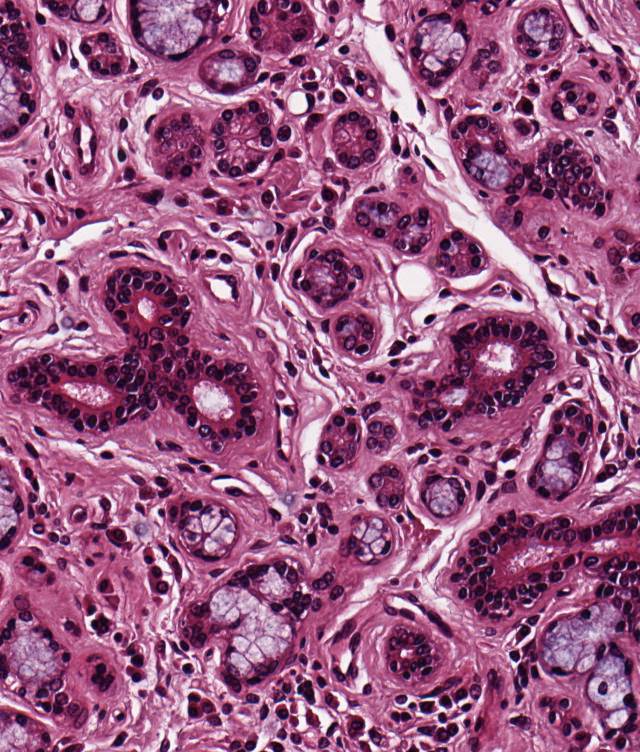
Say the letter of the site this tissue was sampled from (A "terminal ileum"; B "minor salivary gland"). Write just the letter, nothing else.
B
